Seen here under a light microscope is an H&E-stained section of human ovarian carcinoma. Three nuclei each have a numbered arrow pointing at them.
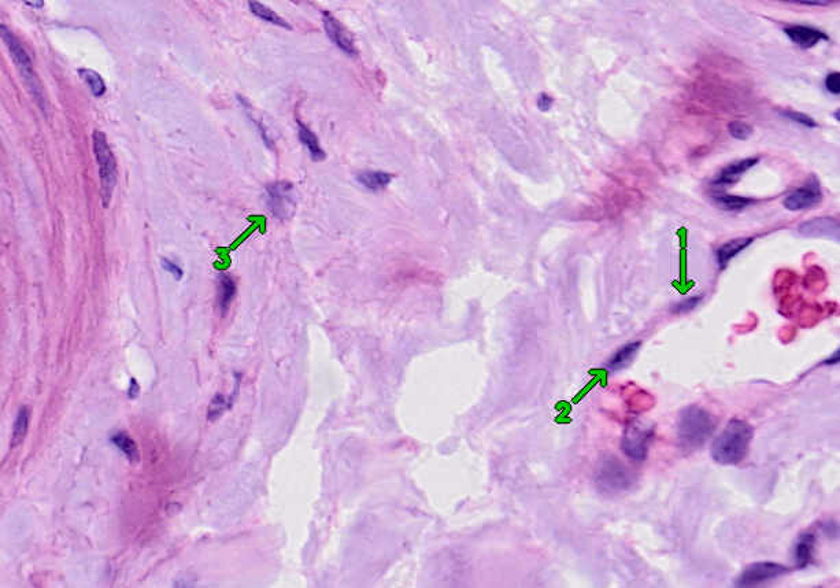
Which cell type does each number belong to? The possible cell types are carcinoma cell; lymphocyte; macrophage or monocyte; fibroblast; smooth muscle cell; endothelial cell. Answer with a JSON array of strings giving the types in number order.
["endothelial cell", "endothelial cell", "fibroblast"]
